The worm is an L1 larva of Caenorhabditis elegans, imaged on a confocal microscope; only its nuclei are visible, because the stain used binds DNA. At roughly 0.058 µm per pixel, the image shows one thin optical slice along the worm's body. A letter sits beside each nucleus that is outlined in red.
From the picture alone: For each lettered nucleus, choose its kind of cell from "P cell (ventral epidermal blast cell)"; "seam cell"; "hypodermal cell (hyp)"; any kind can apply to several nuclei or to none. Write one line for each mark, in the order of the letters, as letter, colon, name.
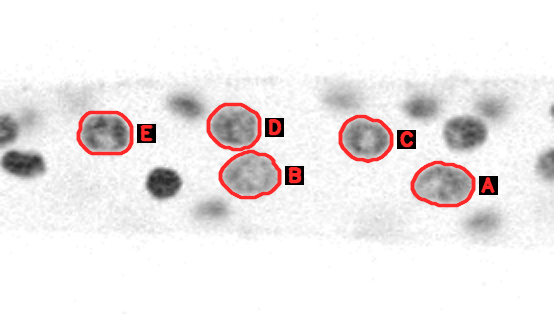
A: hypodermal cell (hyp)
B: hypodermal cell (hyp)
C: seam cell
D: P cell (ventral epidermal blast cell)
E: seam cell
